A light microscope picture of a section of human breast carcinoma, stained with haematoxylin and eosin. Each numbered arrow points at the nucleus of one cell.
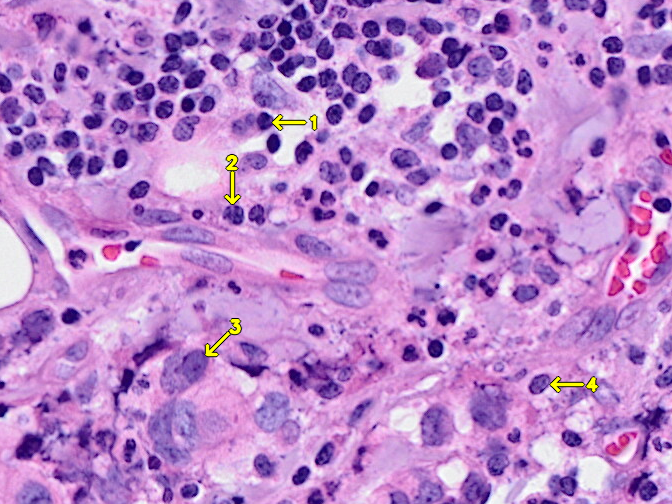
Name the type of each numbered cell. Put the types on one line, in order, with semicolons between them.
lymphocyte; lymphocyte; carcinoma cell; lymphocyte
